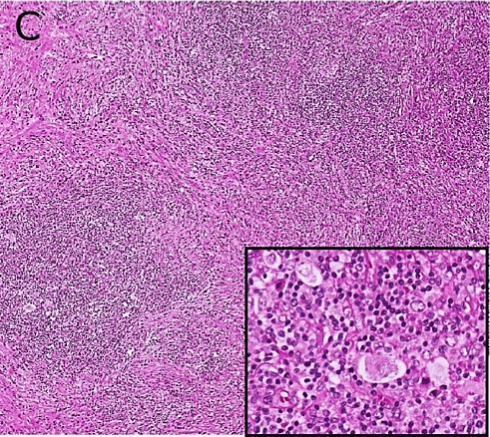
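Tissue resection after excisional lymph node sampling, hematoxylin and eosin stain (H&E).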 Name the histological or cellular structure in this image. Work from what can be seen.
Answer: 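Nodular lymphocytic proliferation. Rounded darker cellular nodules are separated by paler pink bands. The nodules are crowded with small dark nuclei.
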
